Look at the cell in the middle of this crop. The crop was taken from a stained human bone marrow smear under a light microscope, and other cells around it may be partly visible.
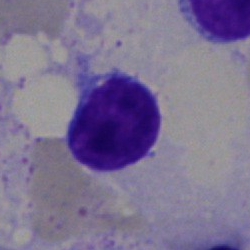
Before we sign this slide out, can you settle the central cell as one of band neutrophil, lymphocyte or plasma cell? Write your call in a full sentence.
Here the centrally located cell is a lymphocyte.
